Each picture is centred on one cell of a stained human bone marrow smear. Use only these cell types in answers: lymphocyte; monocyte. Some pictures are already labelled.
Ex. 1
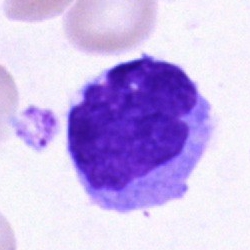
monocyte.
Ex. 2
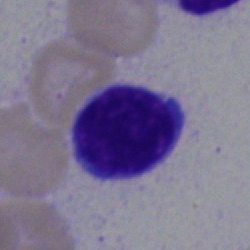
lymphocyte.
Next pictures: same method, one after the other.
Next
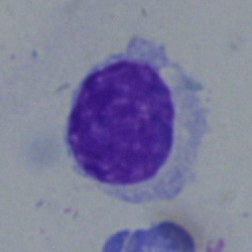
lymphocyte.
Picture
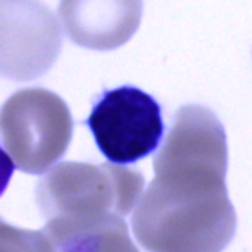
lymphocyte.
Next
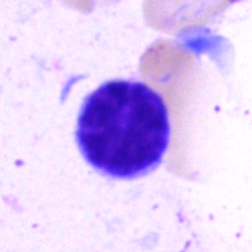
lymphocyte.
